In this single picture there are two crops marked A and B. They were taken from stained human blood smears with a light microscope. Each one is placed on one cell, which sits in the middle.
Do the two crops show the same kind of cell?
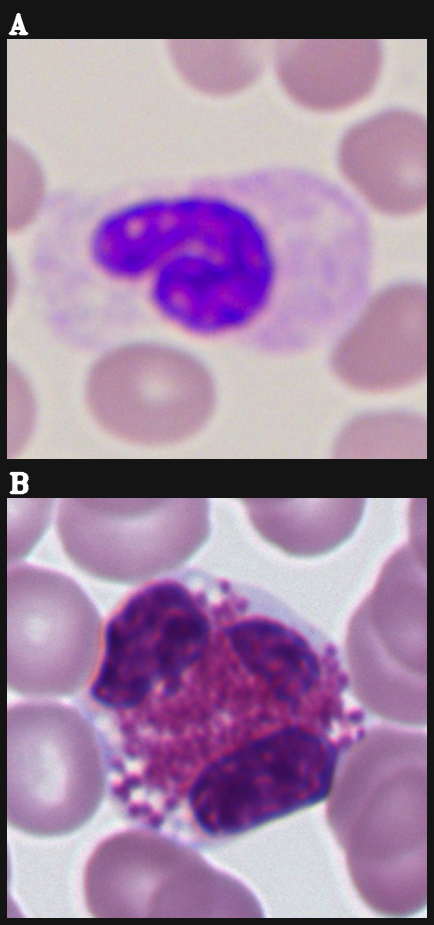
no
